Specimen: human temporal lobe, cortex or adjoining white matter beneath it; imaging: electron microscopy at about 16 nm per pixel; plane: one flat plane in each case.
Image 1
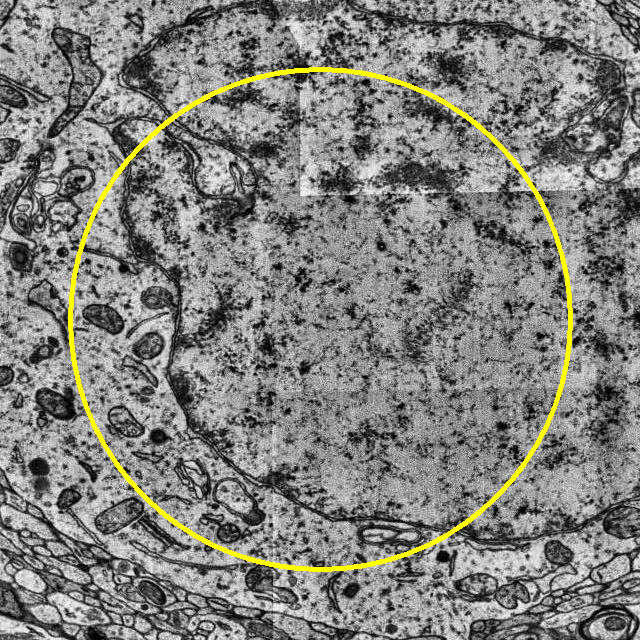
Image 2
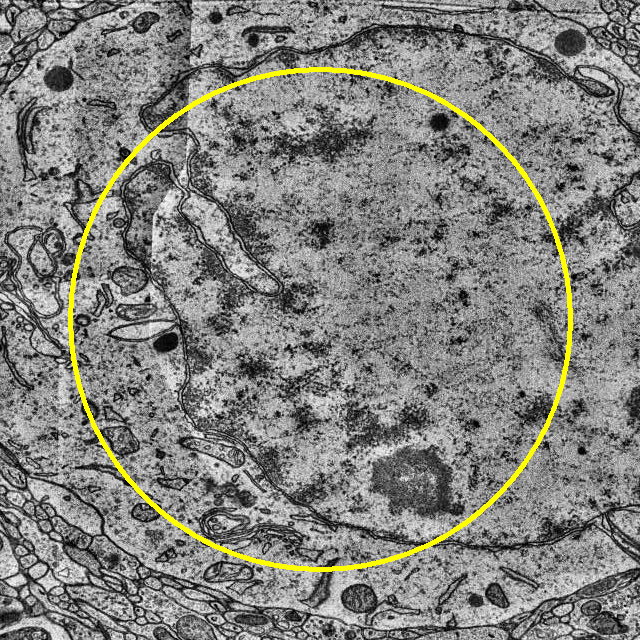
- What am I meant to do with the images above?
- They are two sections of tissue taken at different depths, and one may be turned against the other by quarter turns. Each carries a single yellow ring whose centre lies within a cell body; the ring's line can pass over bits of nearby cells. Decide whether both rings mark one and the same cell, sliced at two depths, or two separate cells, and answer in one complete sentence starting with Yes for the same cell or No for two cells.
Yes, the same individual cell is enclosed by both rings.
